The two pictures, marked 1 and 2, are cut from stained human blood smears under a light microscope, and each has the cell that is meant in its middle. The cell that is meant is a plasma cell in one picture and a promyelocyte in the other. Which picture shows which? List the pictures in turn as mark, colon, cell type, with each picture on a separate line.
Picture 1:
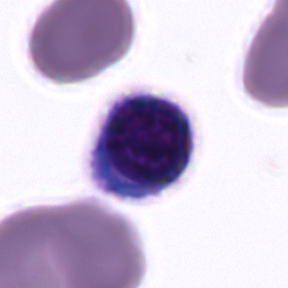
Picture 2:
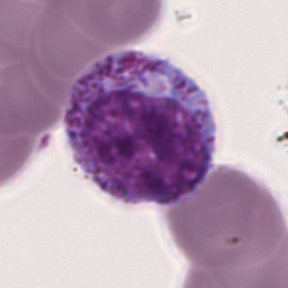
1: plasma cell
2: promyelocyte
